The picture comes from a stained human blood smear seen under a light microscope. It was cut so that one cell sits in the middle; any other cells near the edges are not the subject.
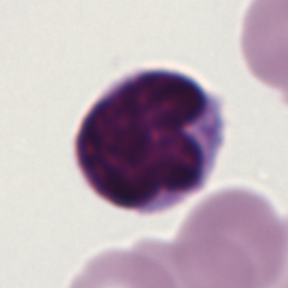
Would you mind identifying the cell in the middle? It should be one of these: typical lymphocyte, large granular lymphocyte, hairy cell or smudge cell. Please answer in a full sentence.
The cell sitting right in the middle is a typical lymphocyte.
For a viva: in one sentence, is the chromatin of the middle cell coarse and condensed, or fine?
Answer: the chromatin in this nucleus is coarsely clumped.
